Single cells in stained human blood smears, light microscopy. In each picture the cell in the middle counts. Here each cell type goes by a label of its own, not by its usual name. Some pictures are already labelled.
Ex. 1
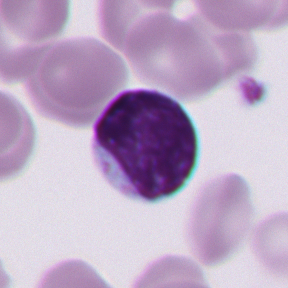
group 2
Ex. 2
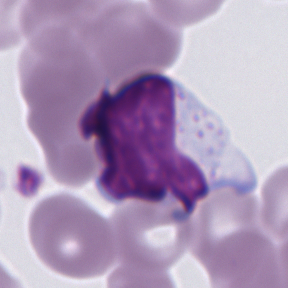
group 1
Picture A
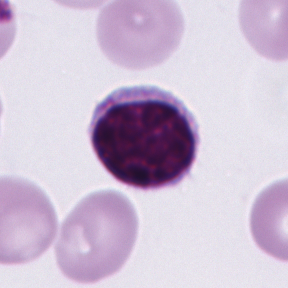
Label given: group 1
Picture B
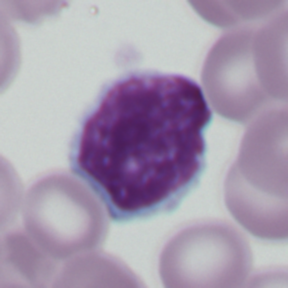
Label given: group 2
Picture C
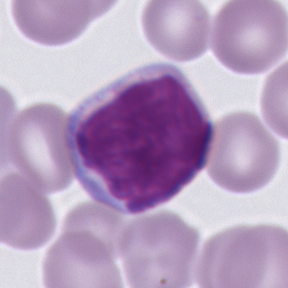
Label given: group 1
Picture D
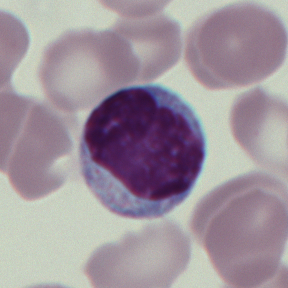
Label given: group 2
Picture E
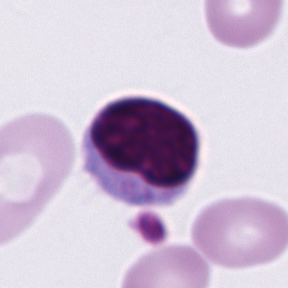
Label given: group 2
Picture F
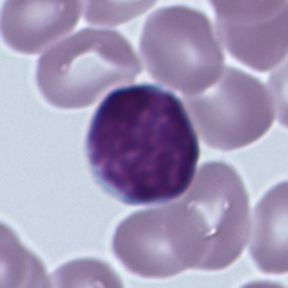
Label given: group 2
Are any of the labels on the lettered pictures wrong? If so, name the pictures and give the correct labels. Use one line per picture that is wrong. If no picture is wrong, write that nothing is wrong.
Nothing to fix; every label fits.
